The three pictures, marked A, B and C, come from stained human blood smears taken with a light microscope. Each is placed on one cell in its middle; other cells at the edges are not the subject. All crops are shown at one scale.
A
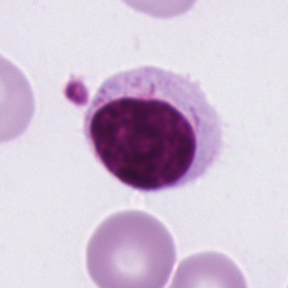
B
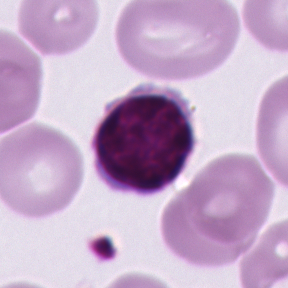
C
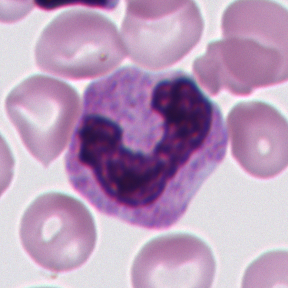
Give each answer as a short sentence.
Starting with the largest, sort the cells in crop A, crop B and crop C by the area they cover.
From the largest down, the order is C, A, B.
